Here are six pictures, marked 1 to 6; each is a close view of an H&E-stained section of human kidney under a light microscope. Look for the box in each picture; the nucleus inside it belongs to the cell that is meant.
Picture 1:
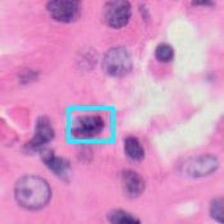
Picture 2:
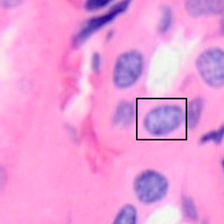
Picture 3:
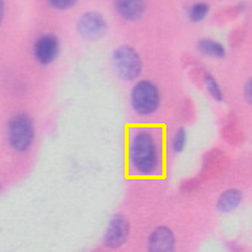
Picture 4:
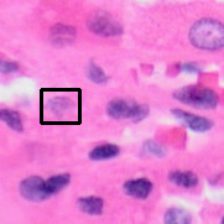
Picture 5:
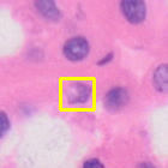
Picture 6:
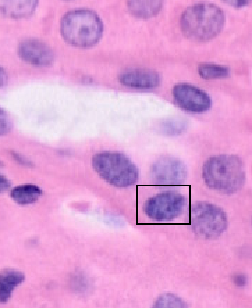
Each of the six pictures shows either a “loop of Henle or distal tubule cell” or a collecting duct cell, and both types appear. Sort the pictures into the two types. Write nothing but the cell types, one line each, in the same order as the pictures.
loop of Henle or distal tubule cell
collecting duct cell
loop of Henle or distal tubule cell
loop of Henle or distal tubule cell
loop of Henle or distal tubule cell
collecting duct cell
